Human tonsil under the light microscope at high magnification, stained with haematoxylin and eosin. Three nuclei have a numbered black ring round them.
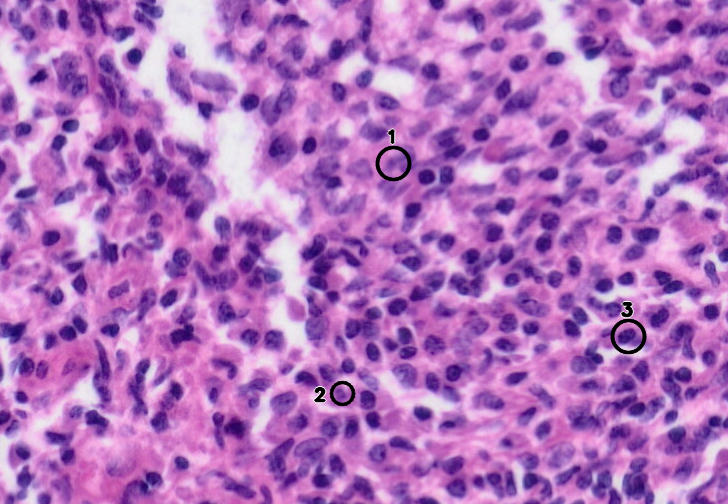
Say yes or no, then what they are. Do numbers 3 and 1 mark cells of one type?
No, in contrast to cell 1, which is a squamous epithelial cell, cell 3 is a plasma cell.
